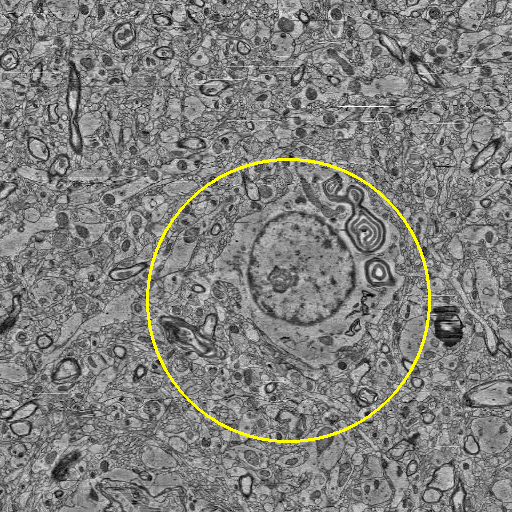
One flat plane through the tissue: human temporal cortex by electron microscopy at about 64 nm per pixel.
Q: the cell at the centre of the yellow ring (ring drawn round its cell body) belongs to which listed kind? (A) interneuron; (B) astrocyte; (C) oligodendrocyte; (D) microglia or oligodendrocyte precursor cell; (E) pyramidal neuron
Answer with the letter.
B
